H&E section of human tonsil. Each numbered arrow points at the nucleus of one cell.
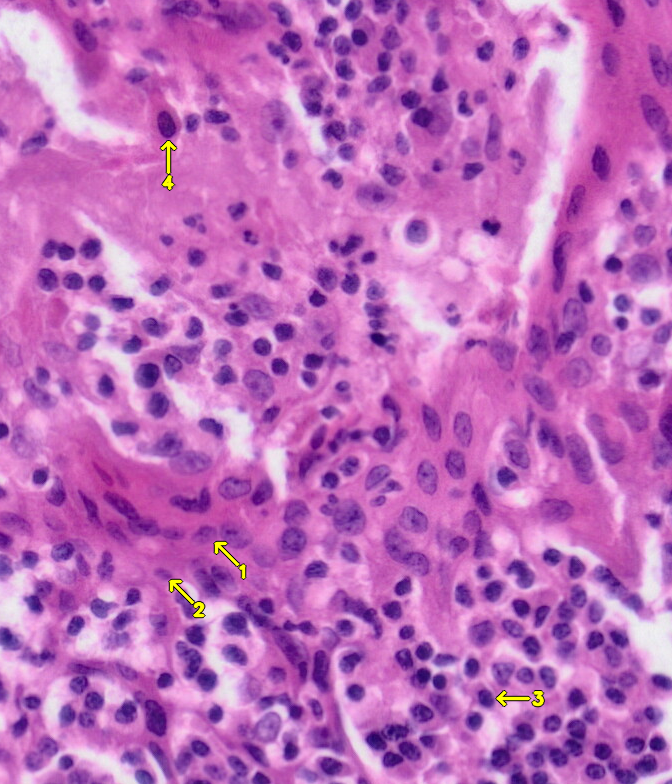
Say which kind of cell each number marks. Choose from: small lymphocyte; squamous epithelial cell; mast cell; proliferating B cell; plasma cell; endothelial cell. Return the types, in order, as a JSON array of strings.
["squamous epithelial cell", "squamous epithelial cell", "plasma cell", "squamous epithelial cell"]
